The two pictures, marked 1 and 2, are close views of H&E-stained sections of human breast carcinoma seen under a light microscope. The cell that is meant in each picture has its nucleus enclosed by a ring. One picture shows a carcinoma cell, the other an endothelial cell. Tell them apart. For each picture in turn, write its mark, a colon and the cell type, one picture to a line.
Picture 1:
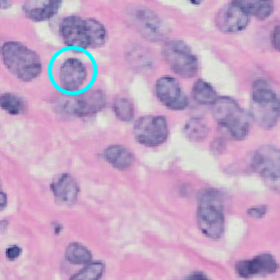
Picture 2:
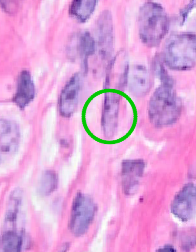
1: carcinoma cell
2: endothelial cell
